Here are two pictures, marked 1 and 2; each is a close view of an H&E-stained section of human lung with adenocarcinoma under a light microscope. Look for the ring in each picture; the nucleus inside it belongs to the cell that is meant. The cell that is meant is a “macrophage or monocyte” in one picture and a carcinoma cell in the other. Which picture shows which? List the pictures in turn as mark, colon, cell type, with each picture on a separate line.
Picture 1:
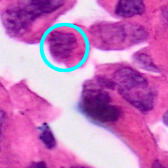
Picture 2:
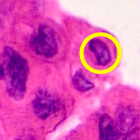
1: carcinoma cell
2: macrophage or monocyte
